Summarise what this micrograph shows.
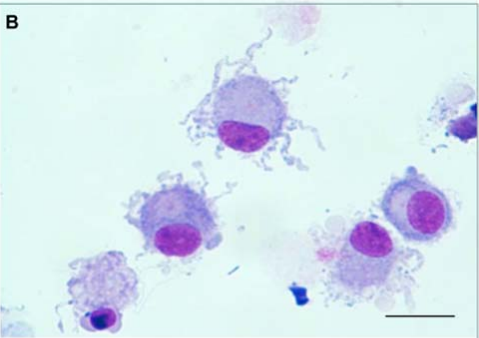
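Long, thin, wavy processes stream out from the cell surface, giving the cells their typical dendritic outline. A few small darkly stained cells and debris lie between them.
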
